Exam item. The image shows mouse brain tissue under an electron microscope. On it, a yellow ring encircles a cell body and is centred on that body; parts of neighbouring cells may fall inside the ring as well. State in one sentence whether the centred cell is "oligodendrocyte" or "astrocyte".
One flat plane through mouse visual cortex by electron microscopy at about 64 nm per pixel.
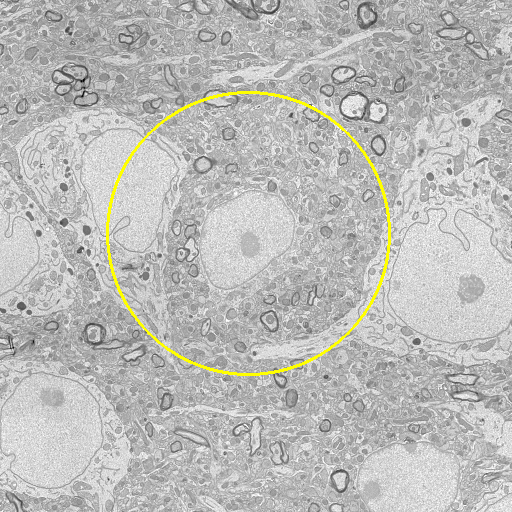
The cell body centred in the ring is an astrocyte.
